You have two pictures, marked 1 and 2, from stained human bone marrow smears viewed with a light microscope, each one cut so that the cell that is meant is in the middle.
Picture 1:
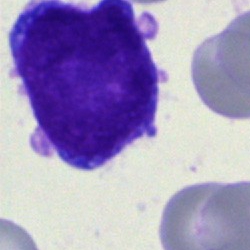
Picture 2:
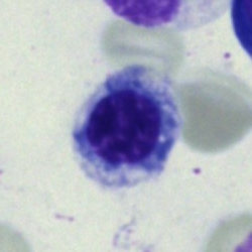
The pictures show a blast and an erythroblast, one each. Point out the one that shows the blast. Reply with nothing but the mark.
1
